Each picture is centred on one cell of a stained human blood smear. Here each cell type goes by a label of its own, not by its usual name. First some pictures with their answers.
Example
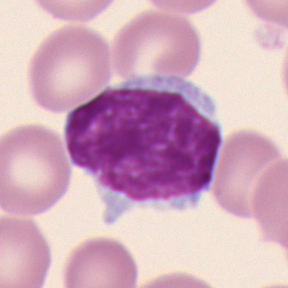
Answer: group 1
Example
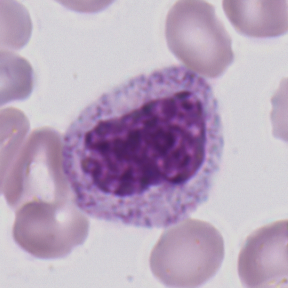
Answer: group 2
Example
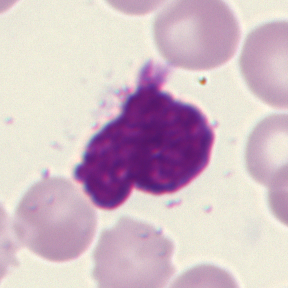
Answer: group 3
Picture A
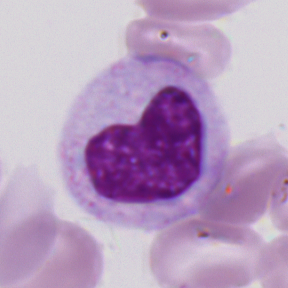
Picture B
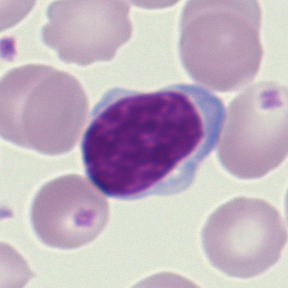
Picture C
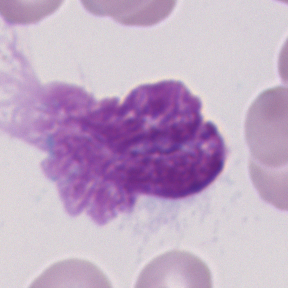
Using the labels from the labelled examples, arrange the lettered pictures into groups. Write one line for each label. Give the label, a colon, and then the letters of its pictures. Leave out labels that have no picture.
group 1: B
group 2: A
group 3: C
